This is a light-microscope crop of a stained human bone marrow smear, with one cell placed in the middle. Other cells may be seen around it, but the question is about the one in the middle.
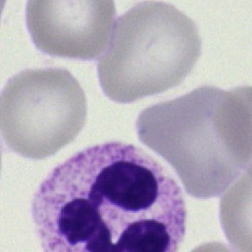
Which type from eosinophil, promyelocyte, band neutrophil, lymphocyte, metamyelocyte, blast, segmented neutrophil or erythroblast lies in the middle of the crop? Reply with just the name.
segmented neutrophil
